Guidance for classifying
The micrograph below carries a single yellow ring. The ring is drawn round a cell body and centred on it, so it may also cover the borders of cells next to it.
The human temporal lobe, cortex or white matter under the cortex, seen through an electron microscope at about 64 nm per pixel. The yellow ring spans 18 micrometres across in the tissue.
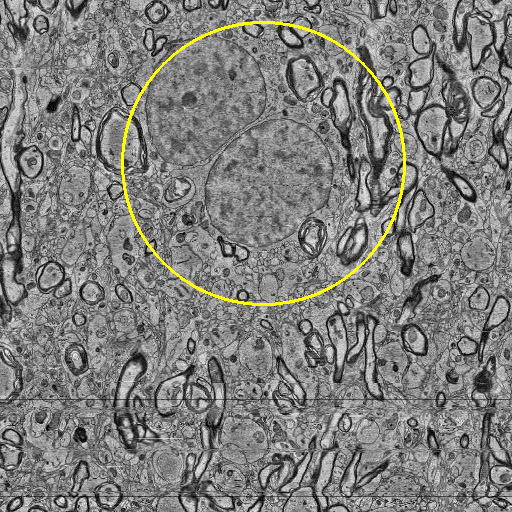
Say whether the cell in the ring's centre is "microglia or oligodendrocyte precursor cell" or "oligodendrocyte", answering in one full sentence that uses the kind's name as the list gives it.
Within the yellow ring, an oligodendrocyte is the cell whose body sits at the centre.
